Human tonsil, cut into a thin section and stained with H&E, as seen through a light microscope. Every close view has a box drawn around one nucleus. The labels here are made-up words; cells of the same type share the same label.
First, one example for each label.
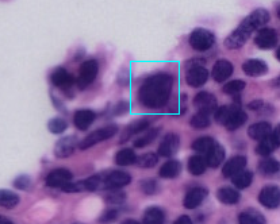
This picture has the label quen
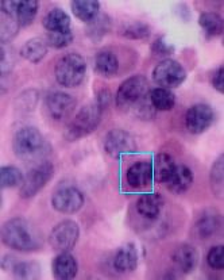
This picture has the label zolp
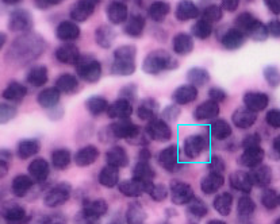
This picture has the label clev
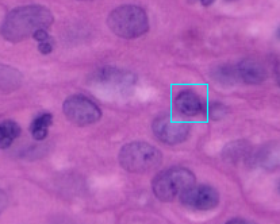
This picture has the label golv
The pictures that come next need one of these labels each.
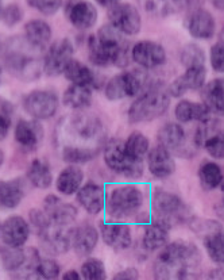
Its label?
quen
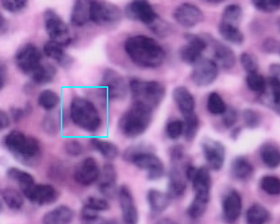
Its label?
quen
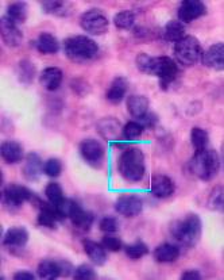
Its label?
quen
